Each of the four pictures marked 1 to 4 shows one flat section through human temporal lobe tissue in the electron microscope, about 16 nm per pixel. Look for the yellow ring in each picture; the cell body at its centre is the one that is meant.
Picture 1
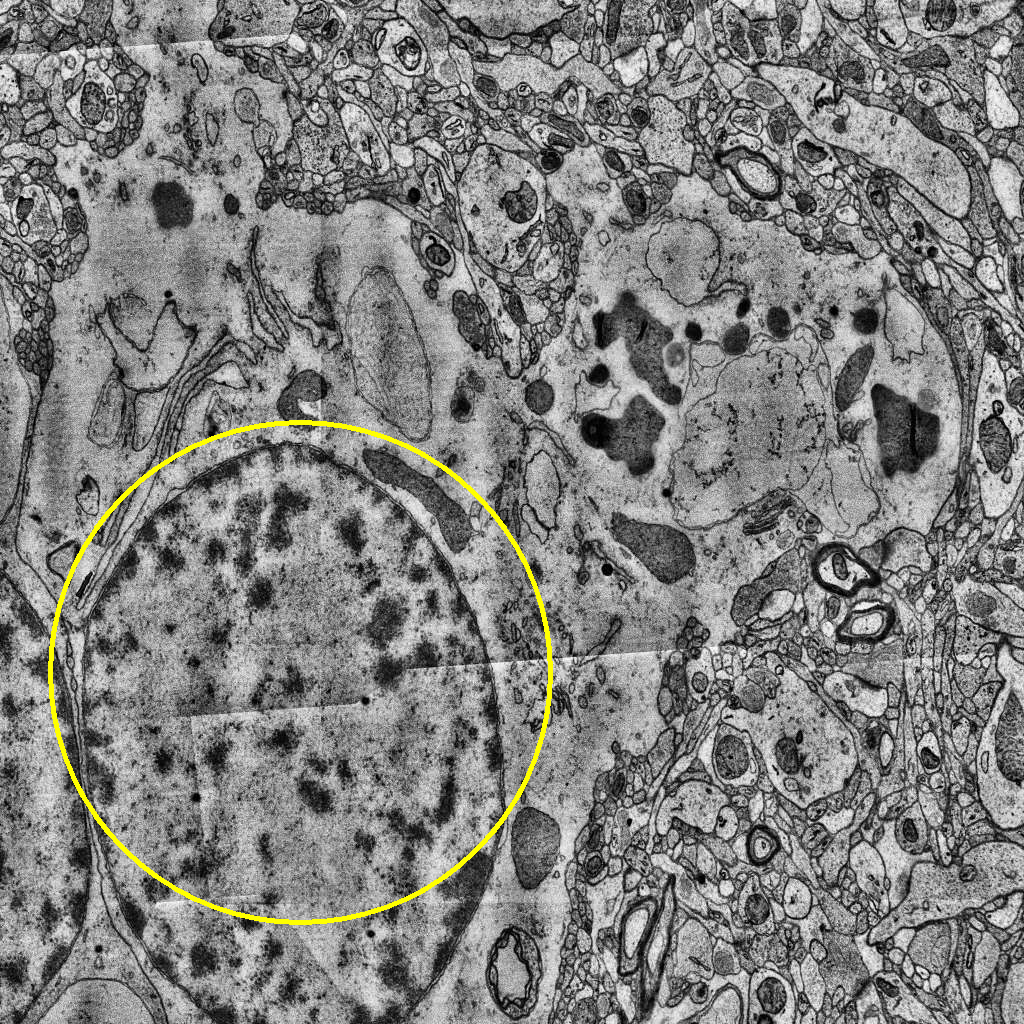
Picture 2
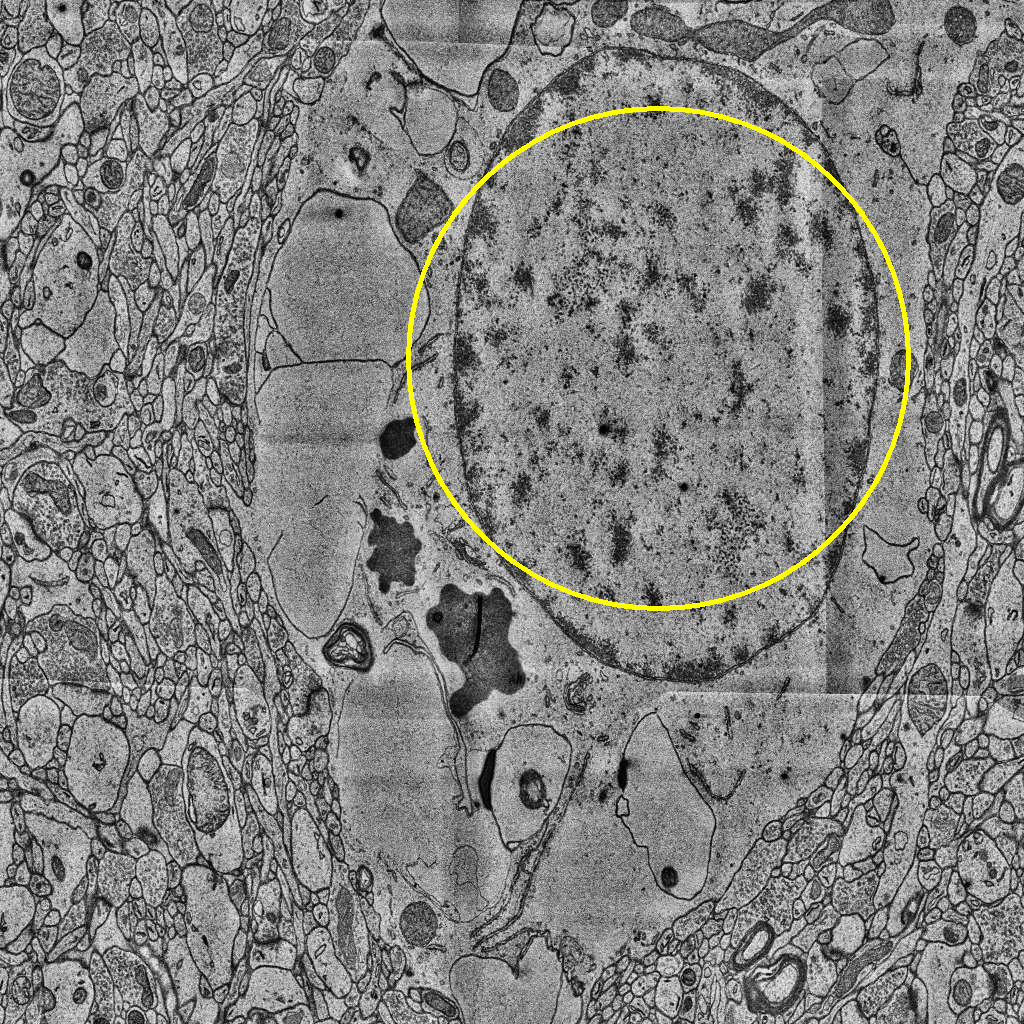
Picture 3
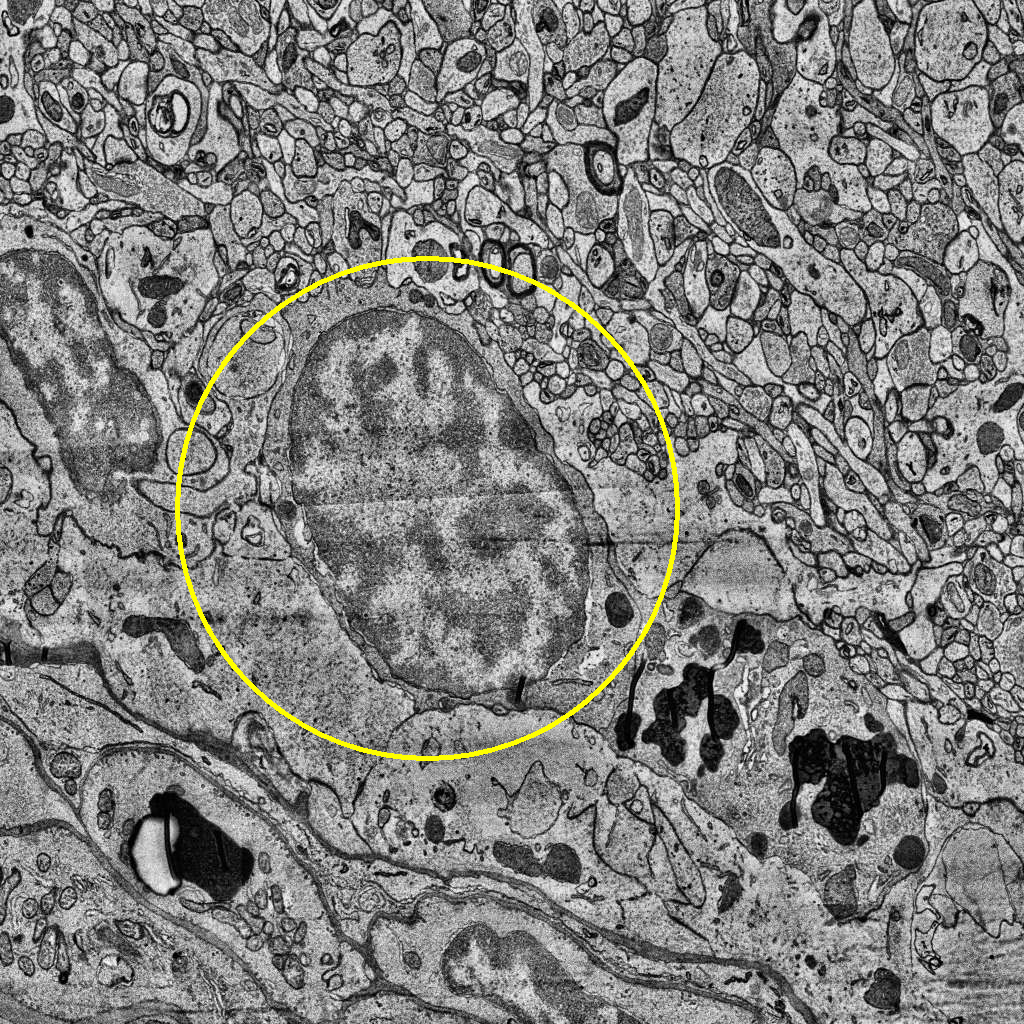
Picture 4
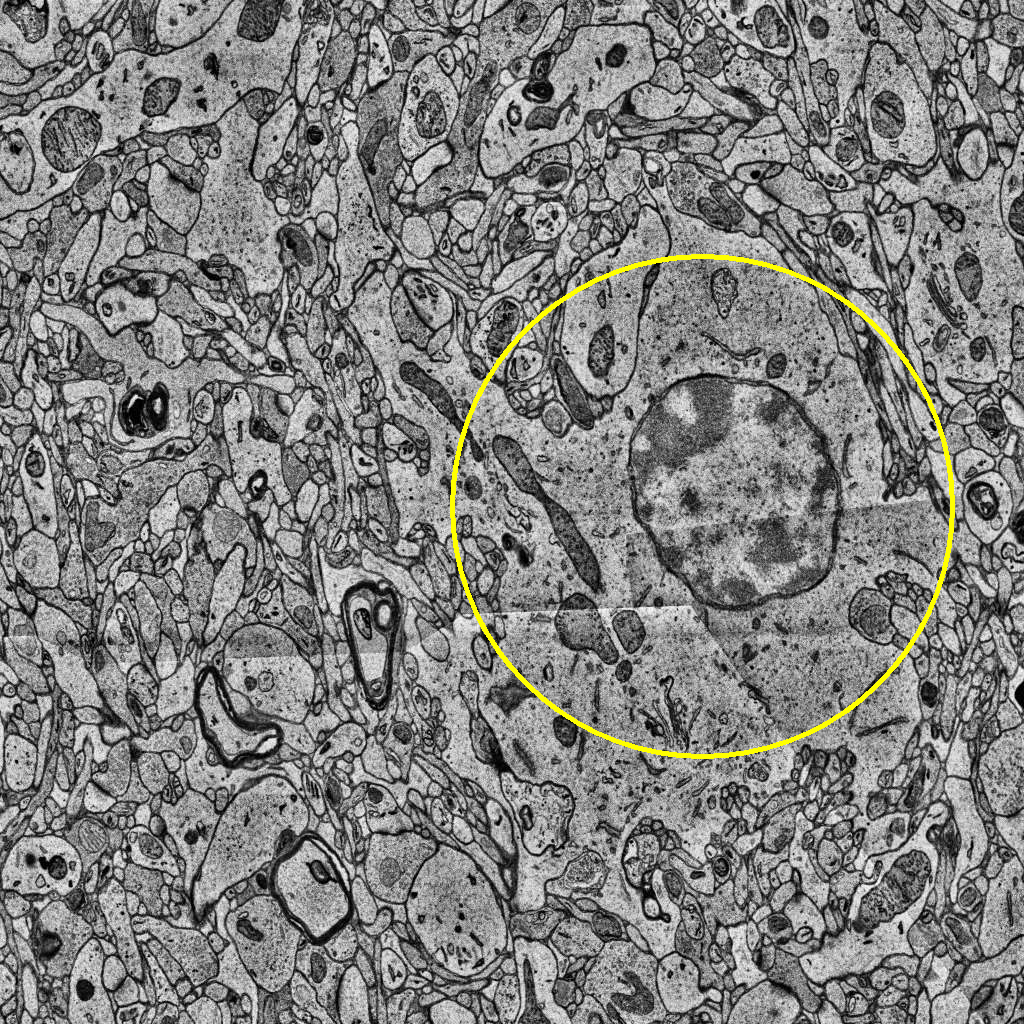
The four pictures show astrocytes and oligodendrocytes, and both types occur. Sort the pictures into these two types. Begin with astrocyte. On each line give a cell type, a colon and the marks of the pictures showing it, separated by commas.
astrocyte: 1, 2, 4
oligodendrocyte: 3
